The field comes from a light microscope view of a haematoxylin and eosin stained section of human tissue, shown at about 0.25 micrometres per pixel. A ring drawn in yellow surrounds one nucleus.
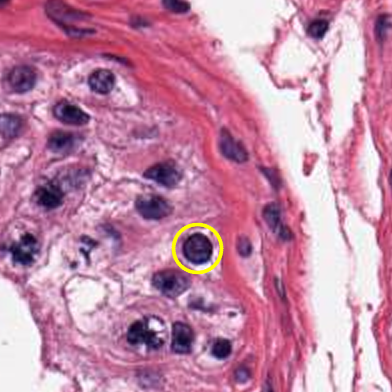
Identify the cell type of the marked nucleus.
spermatogonium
